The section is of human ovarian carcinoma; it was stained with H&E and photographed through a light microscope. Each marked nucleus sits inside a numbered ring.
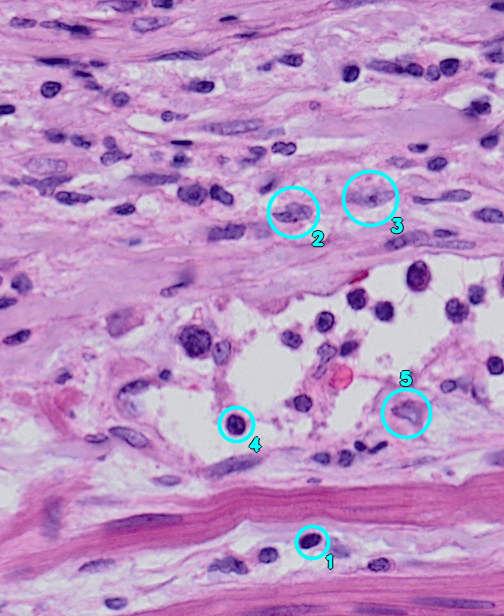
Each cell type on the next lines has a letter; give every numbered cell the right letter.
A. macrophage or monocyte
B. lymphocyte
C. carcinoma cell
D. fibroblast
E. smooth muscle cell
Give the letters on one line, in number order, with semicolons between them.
B; A; D; B; D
